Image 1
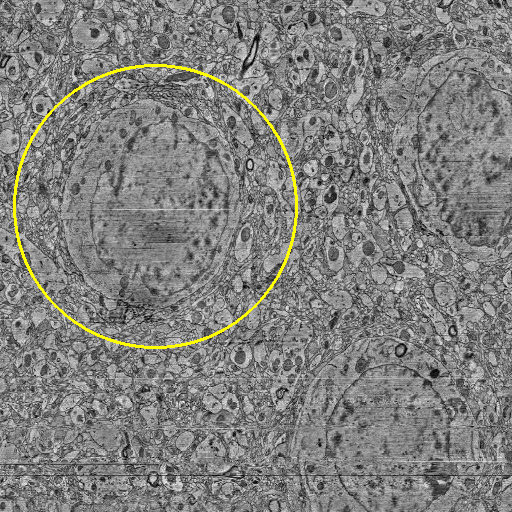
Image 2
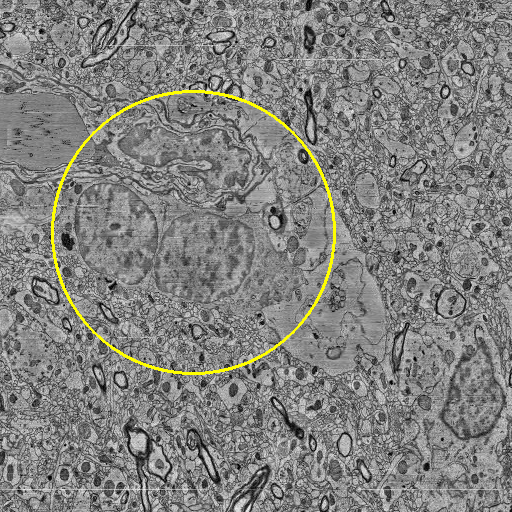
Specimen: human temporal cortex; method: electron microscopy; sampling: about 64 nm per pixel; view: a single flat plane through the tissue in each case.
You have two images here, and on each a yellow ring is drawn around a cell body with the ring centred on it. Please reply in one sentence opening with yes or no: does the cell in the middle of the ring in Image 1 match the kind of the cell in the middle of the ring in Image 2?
No, the two images show cells of two kinds at the centres of their rings.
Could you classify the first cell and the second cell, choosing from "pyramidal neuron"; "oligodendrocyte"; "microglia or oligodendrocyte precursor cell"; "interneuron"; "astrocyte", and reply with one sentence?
The second cell is an oligodendrocyte, while the first is an interneuron.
